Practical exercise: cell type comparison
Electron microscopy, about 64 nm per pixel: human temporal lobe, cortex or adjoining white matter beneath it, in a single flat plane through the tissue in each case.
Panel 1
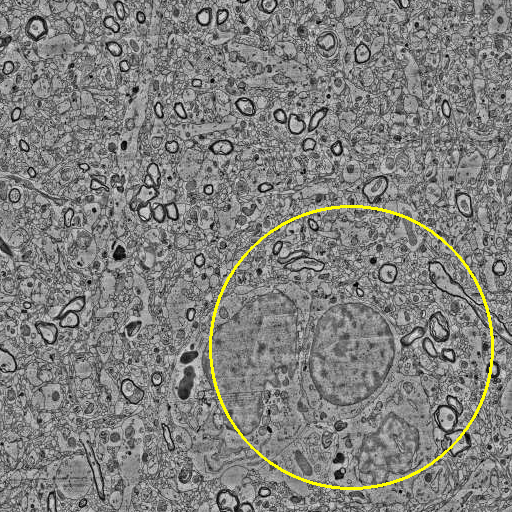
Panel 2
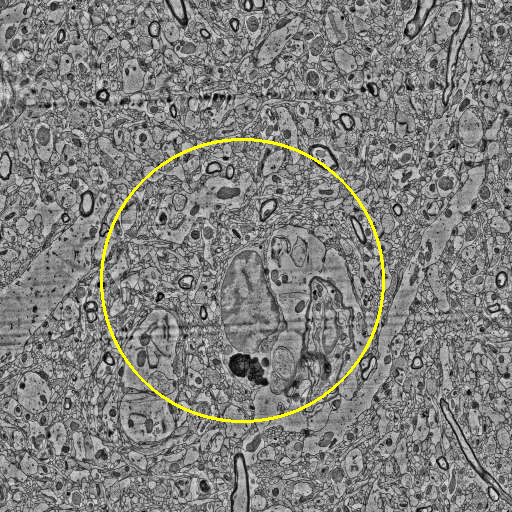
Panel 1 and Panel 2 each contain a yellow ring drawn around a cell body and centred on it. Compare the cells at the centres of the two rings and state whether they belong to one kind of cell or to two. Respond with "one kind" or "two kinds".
one kind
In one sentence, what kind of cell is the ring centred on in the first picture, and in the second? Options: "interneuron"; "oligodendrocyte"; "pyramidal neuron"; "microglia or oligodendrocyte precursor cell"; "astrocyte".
The ring centre holds an oligodendrocyte in each of the two pictures.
